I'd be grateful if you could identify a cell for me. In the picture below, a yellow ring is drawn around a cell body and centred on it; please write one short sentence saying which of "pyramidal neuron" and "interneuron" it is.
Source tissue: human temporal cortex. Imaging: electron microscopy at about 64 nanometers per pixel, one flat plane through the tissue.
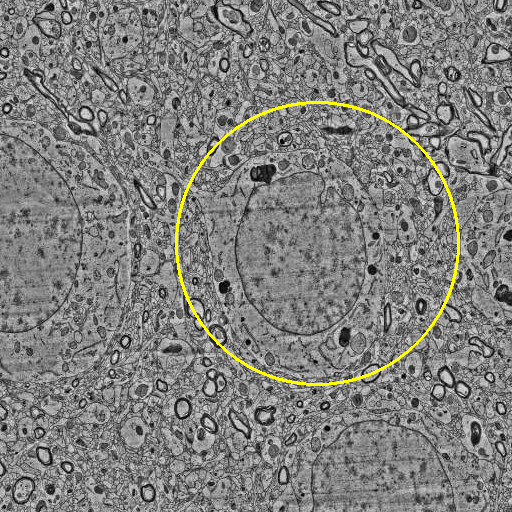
The cell under the ring's centre is a pyramidal neuron.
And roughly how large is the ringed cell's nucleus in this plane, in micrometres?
The nucleus comes to roughly 10 by 8 micrometres in this plane.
